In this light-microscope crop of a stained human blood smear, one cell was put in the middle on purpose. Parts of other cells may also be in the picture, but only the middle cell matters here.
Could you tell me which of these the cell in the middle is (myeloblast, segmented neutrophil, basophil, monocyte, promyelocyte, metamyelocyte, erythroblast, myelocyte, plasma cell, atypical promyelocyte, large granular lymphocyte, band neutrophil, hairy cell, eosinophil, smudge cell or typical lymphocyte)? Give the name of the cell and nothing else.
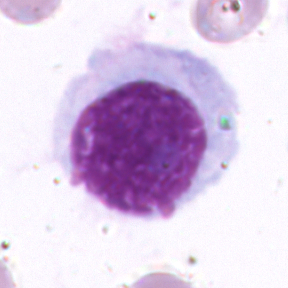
plasma cell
